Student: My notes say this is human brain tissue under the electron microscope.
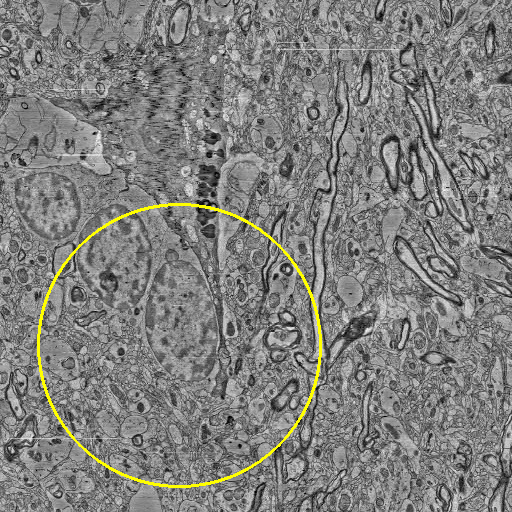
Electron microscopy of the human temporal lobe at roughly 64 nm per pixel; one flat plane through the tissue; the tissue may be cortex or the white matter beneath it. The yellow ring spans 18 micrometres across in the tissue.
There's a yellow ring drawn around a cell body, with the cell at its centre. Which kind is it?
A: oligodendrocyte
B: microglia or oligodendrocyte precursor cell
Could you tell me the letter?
A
